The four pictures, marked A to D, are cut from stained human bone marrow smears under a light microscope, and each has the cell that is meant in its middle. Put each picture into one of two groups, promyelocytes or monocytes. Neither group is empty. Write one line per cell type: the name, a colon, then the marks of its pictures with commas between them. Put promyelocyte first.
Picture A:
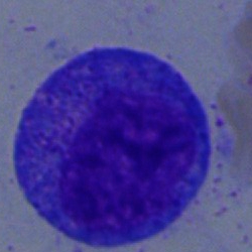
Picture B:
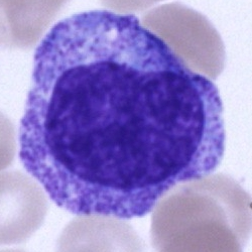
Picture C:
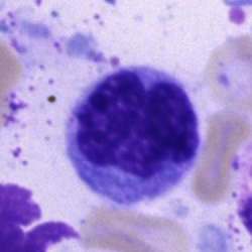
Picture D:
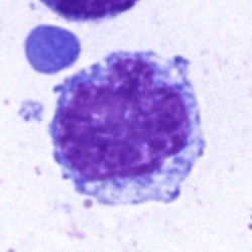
promyelocyte: A, B
monocyte: C, D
